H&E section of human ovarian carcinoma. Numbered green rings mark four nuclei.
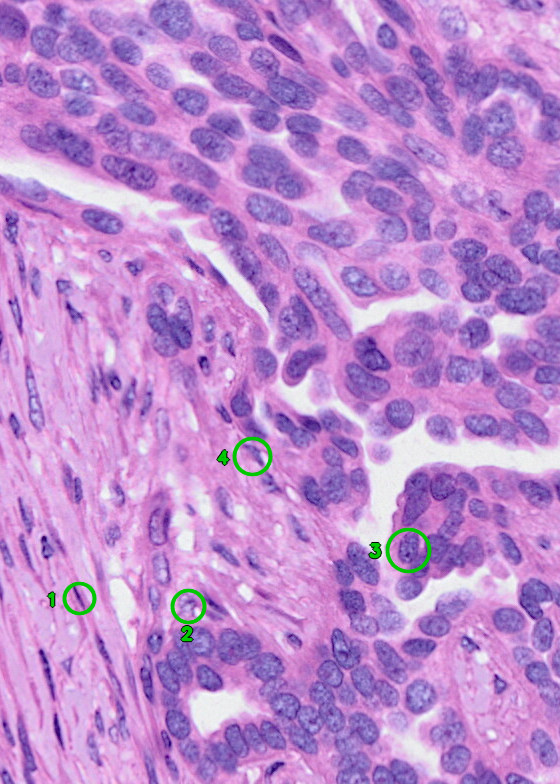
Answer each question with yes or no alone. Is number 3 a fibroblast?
no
